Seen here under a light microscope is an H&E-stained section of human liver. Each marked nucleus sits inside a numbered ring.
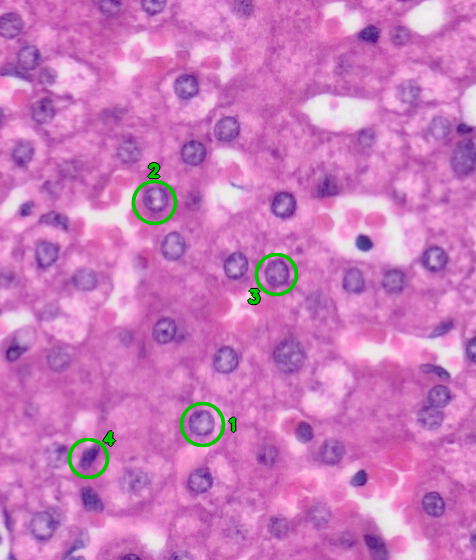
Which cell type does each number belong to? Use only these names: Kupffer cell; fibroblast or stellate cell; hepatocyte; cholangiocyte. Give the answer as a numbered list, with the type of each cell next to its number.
1. hepatocyte
2. hepatocyte
3. hepatocyte
4. fibroblast or stellate cell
